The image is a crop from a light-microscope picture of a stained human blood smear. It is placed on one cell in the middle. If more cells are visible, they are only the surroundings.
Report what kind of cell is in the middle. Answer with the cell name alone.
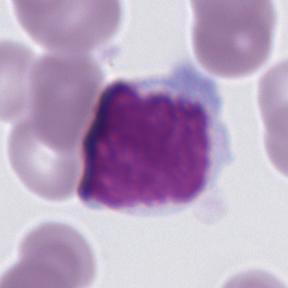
large granular lymphocyte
